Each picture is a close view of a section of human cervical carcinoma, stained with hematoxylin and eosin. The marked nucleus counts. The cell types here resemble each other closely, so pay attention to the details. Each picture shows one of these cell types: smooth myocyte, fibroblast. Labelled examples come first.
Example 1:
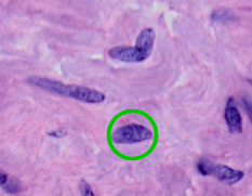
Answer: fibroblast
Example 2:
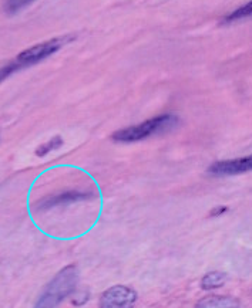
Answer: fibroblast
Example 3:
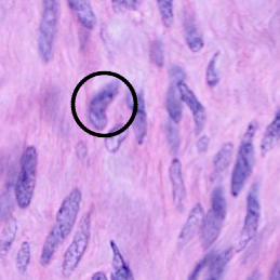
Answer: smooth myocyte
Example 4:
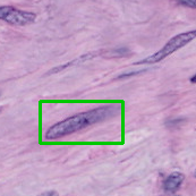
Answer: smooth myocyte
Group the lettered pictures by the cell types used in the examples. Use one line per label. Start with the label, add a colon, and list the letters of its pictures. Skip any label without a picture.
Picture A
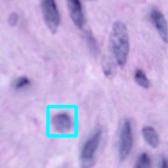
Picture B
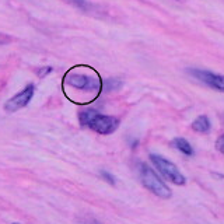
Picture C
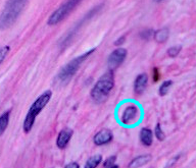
smooth myocyte: B, C
fibroblast: A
